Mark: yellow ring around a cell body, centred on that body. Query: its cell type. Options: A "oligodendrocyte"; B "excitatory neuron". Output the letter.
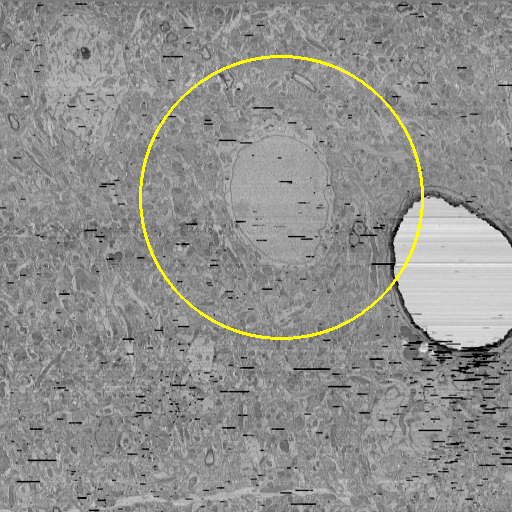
B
